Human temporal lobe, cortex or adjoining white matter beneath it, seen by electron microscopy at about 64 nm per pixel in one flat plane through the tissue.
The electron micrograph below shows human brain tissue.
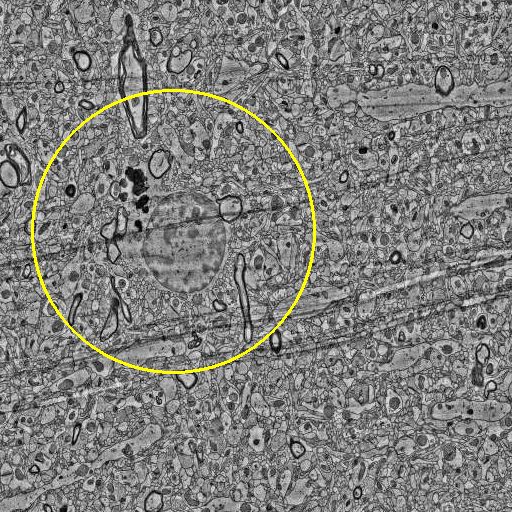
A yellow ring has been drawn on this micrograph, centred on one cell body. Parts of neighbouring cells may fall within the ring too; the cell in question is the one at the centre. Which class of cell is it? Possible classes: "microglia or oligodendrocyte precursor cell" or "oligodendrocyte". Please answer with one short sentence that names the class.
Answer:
In the centre of the ring sits an oligodendrocyte.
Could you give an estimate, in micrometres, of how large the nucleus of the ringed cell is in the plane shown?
In this plane the nucleus measures roughly 6 by 5 micrometres.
